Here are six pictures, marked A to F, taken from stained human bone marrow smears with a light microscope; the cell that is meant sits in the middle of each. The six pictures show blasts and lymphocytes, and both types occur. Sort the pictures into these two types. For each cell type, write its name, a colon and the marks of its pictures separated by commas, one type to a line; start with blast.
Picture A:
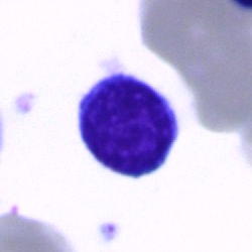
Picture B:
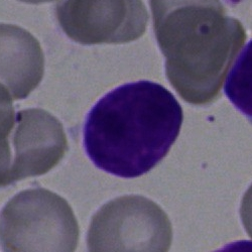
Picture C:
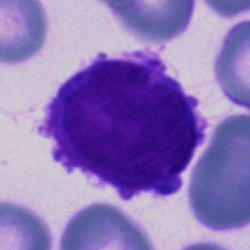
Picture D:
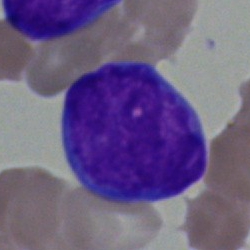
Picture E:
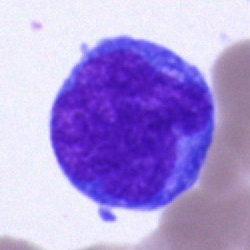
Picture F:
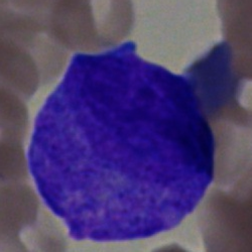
blast: C, D, E, F
lymphocyte: A, B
